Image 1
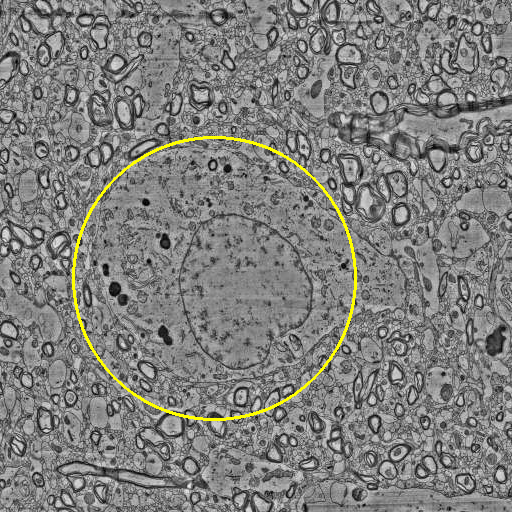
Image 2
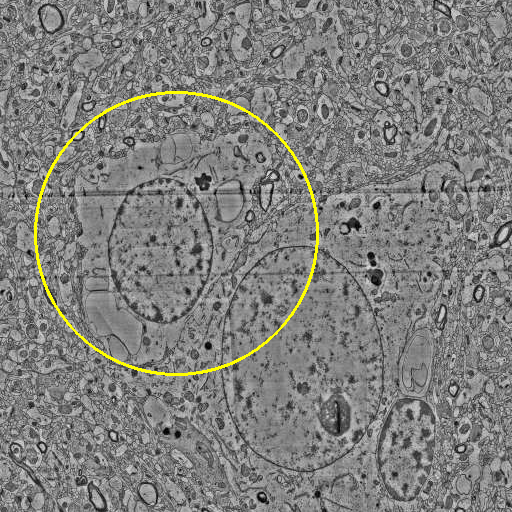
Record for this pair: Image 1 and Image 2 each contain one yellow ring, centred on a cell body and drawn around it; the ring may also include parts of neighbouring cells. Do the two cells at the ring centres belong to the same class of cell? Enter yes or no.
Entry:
no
